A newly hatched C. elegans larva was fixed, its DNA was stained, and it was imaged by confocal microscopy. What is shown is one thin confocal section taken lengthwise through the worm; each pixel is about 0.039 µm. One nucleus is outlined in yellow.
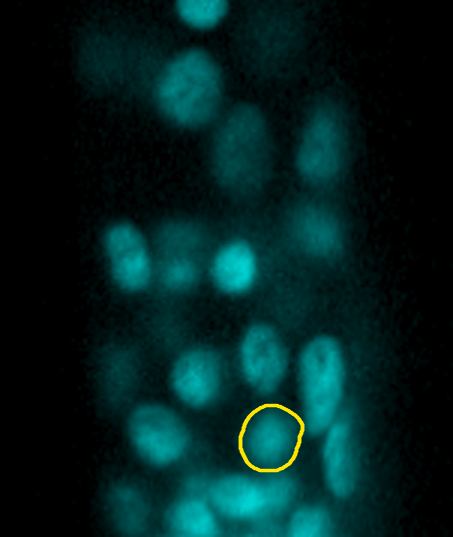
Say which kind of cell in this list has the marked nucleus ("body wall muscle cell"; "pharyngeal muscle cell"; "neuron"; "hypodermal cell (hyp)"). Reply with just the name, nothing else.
neuron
